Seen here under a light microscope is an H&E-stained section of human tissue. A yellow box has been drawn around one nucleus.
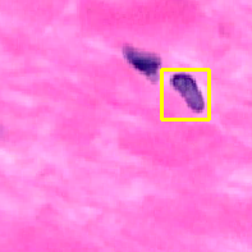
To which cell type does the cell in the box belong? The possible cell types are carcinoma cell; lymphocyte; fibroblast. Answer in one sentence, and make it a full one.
With respect to cell type, the cell in the box is a lymphocyte.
